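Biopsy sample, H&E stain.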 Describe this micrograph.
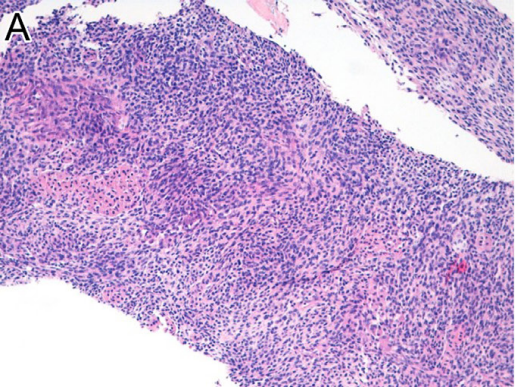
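Crowded tumour cells with elongated, dark blue nuclei form streaming and swirling bundles that fill the fragment. There are no glands or follicles. Scattered among the spindle cells are islands of cells with more abundant pink cytoplasm, which show as paler pink patches. A small focus of red blood cells lies near the lower right. A separate, loosely cellular fragment of spindle cells lies at the upper right, apart from the main piece.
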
